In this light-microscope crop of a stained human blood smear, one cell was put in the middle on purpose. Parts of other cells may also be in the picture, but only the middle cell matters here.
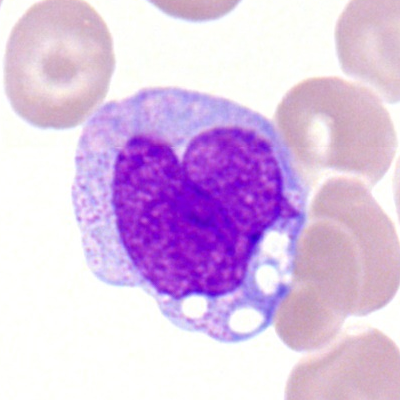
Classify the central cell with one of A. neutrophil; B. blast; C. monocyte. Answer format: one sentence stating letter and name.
Option C is the keyed answer: the cell in the middle is a monocyte.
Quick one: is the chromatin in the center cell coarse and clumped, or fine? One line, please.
The chromatin is delicate and fine, lacking coarse clumping entirely.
